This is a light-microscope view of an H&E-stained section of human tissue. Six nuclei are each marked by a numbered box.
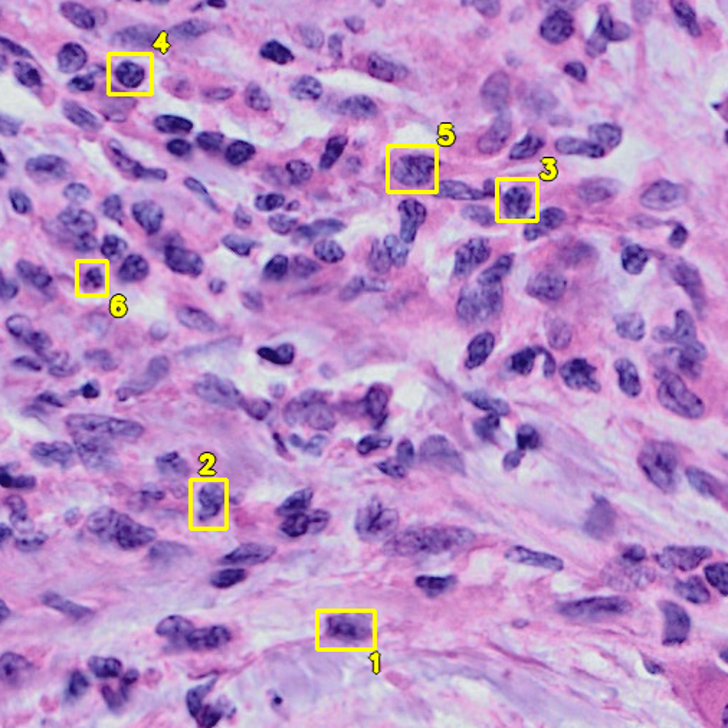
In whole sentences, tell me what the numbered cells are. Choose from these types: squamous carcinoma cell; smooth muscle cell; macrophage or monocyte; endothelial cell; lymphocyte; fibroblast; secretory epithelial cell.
Cells 1 and 5 are macrophages or monocytes. Cells 2, 3, 4 and 6 are lymphocytes.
